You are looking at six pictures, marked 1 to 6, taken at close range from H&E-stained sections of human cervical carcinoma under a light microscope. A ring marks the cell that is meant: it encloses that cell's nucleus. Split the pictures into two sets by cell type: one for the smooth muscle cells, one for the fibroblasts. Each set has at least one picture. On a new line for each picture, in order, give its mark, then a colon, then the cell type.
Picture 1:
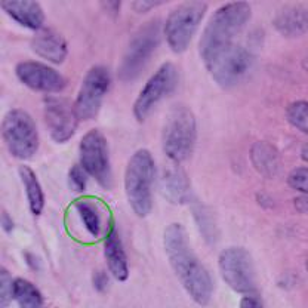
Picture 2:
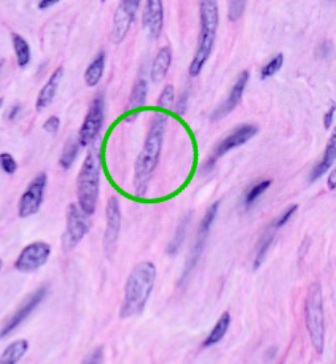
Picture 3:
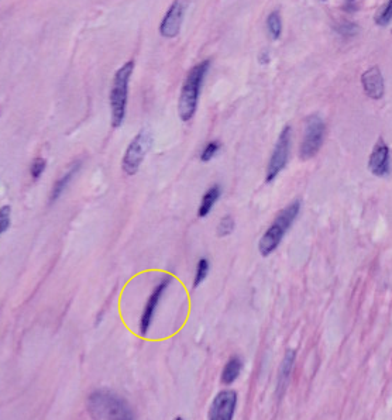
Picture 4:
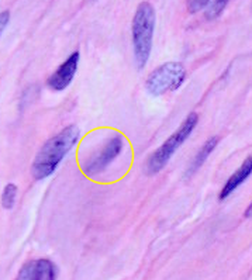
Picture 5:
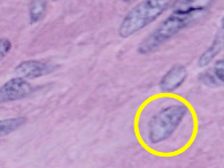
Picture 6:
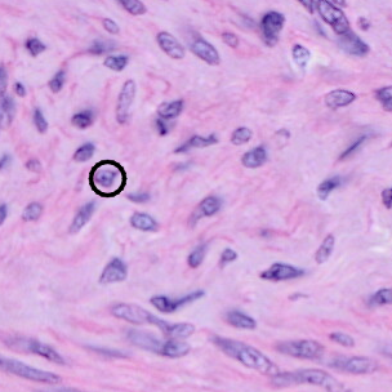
1: fibroblast
2: smooth muscle cell
3: fibroblast
4: fibroblast
5: smooth muscle cell
6: smooth muscle cell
